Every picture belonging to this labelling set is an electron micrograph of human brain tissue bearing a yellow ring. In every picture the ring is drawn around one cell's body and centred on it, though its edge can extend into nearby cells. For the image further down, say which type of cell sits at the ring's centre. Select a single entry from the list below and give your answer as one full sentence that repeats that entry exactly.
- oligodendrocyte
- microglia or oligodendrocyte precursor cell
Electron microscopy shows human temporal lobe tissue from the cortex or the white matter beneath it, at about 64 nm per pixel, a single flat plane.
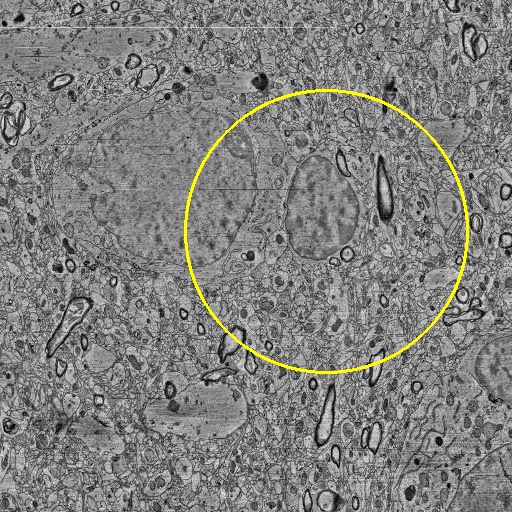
In the picture, an oligodendrocyte is the cell at the centre of the yellow ring.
